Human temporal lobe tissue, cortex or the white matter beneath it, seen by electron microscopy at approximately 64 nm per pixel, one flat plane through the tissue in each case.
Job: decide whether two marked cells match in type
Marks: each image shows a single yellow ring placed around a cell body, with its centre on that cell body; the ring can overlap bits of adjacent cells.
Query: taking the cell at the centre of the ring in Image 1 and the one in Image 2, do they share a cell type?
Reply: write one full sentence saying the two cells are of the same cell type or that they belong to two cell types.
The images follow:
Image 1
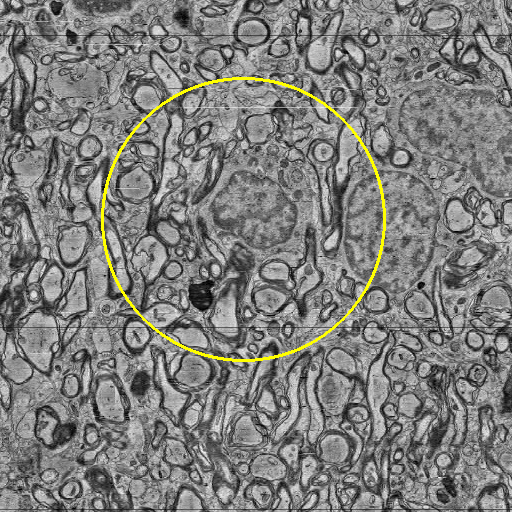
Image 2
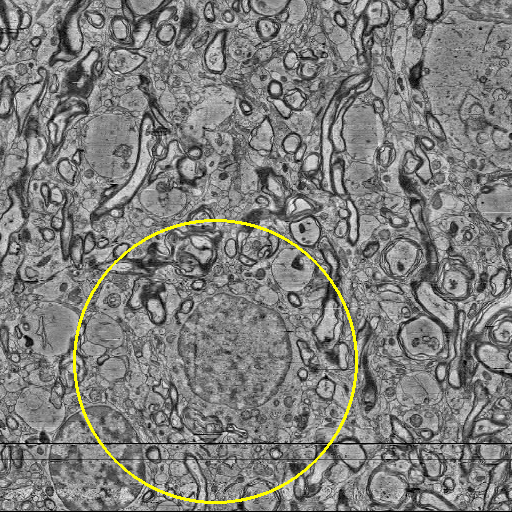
The cells at the ring centres in Image 1 and Image 2 are of the same cell type.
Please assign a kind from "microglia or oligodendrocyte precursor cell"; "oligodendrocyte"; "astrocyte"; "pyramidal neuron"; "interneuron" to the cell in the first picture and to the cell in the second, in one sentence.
In both pictures the ring is centred on an oligodendrocyte.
